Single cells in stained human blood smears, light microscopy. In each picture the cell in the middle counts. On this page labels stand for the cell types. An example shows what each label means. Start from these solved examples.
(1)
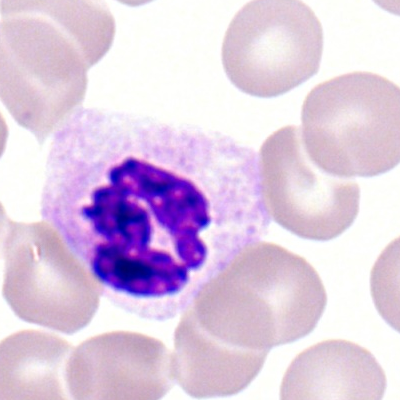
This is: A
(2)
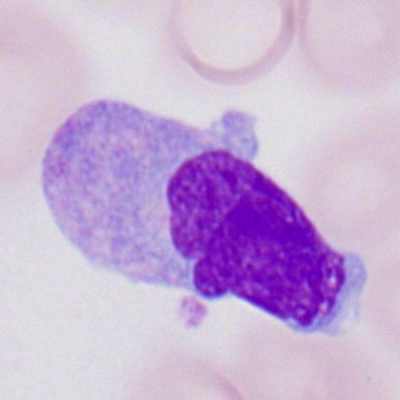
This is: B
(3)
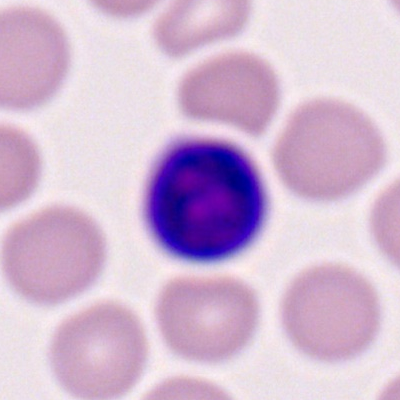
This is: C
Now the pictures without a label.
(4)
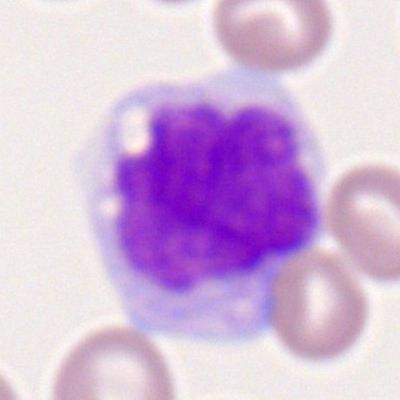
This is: B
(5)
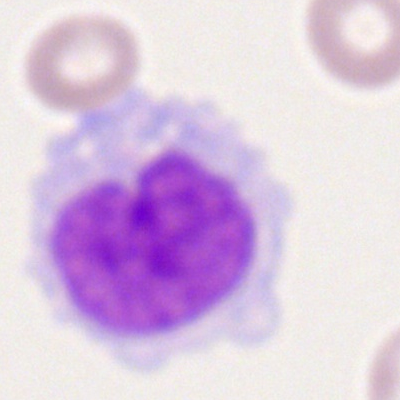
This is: B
